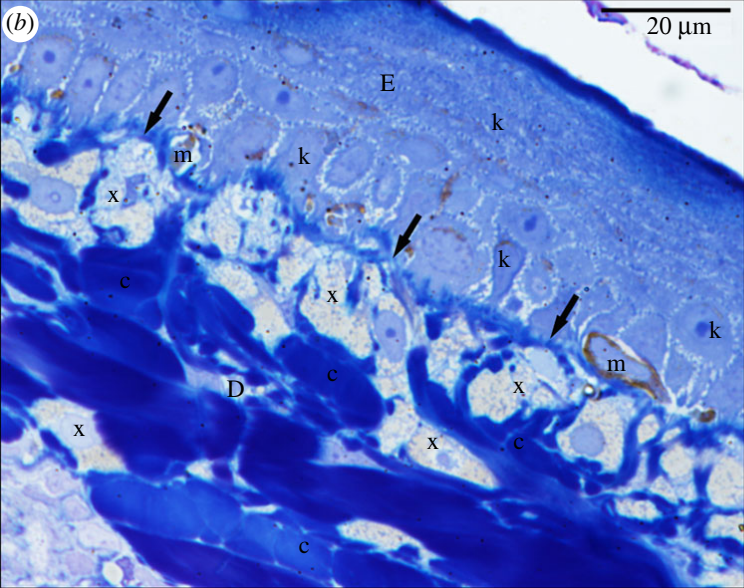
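This is skin with epidermis above and dermis below. The epidermis is a stratified layer of keratinocytes with round nuclei, cells flattening toward the dark blue surface. At its base runs a thin basal lamina. Just beneath it, in the upper dermis, lie large pale xanthophores whose cytoplasm looks foamy, crowded with small clear vesicles. Deeper, thick intensely blue bundles of collagen fibres run obliquely, with further xanthophores wedged between them.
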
